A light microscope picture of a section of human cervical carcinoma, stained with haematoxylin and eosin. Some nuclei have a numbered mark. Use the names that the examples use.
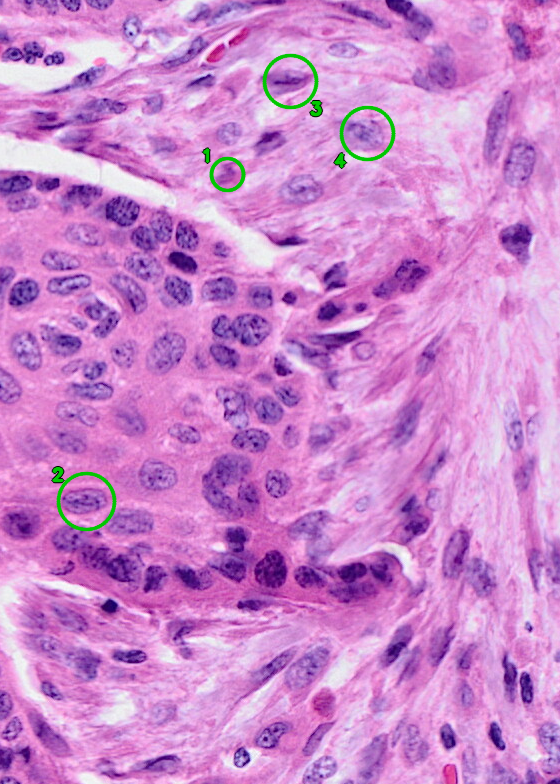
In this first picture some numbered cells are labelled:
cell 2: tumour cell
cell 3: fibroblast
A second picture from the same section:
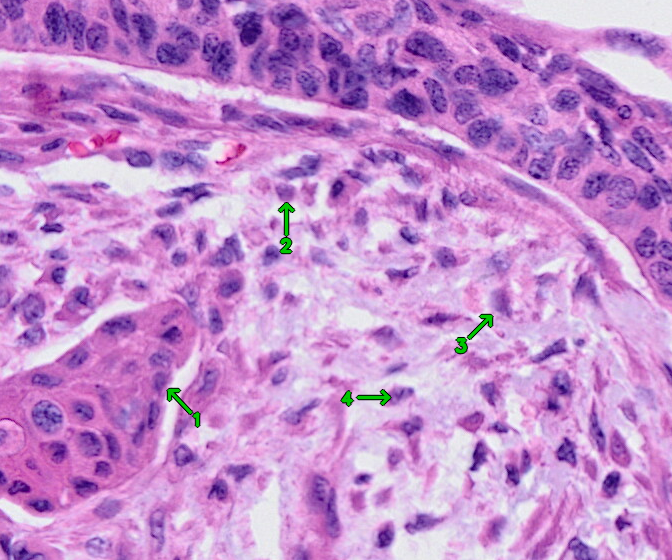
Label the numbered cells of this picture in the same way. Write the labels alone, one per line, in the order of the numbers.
tumour cell
fibroblast
fibroblast
fibroblast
